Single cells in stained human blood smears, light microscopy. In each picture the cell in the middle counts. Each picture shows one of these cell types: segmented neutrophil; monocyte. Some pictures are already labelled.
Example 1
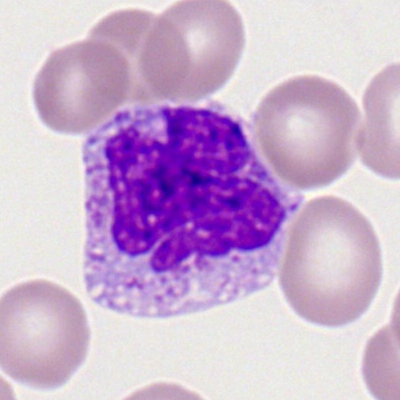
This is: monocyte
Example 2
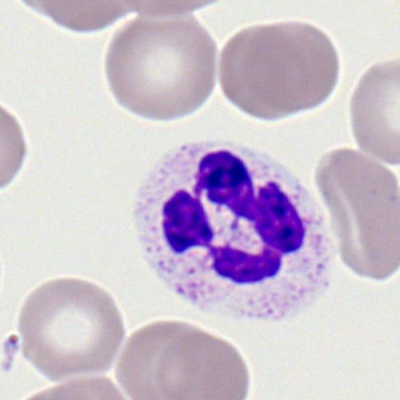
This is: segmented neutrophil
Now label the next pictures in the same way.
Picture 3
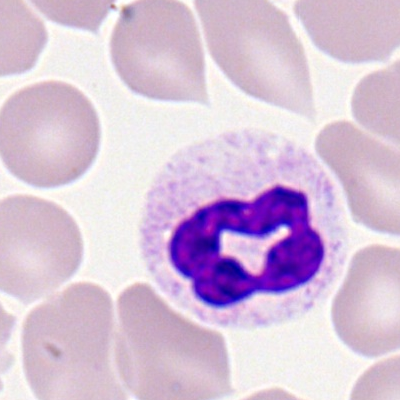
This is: segmented neutrophil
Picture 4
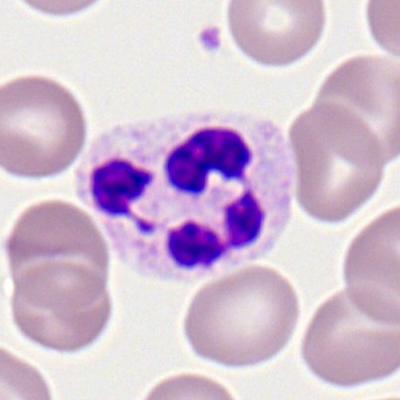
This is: segmented neutrophil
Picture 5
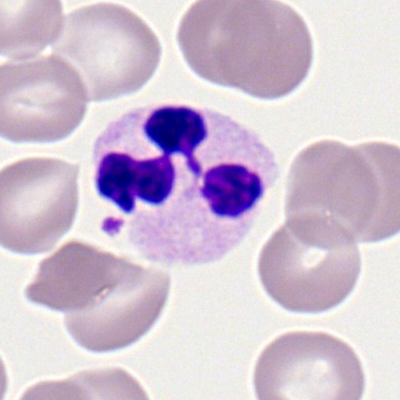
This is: segmented neutrophil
